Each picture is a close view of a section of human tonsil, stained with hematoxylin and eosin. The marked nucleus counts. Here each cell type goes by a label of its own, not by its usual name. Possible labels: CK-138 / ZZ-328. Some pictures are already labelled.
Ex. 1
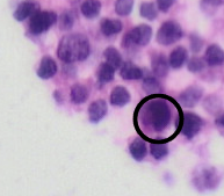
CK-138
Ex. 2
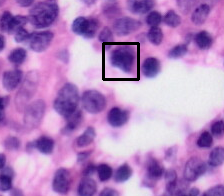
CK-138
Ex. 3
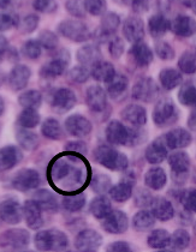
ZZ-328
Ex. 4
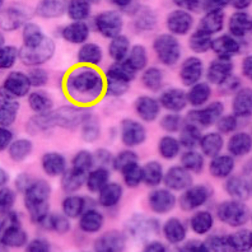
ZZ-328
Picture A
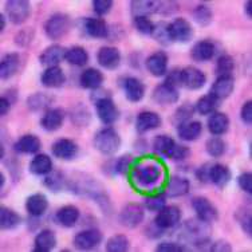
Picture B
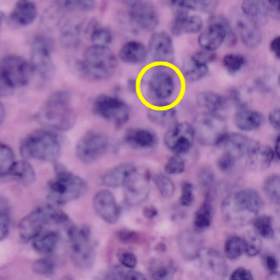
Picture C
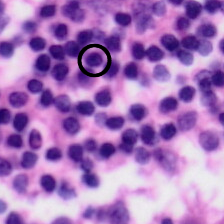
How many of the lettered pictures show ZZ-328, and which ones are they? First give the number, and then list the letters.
Count: 2 (A, C)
